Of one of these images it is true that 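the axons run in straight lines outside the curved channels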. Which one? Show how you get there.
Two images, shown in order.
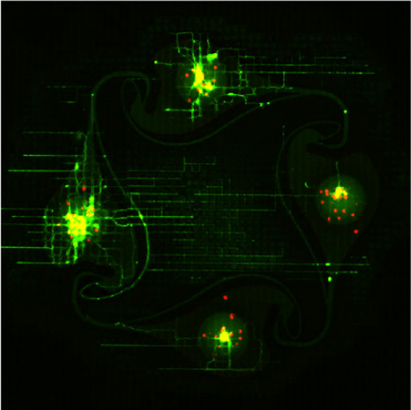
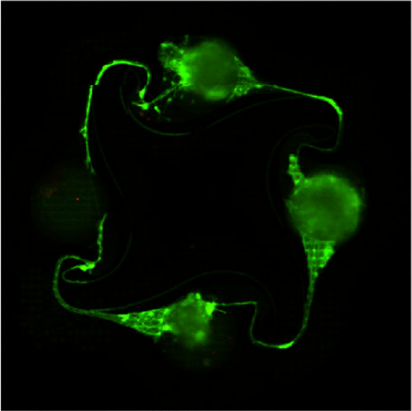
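The first image. Second image: green strands stay inside the curved channels between nodes. First image: many thin green lines run in a straight grid pattern across the open field outside the channels.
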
